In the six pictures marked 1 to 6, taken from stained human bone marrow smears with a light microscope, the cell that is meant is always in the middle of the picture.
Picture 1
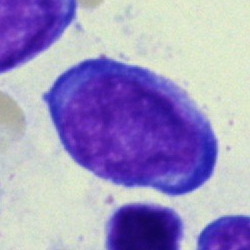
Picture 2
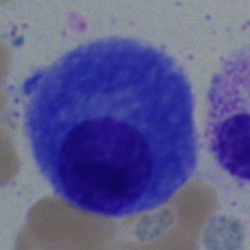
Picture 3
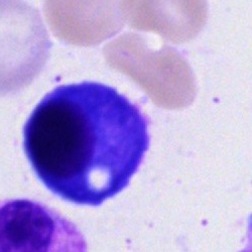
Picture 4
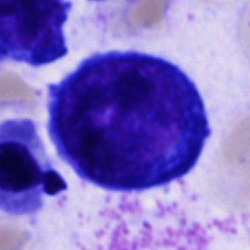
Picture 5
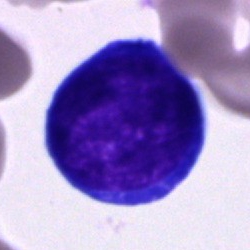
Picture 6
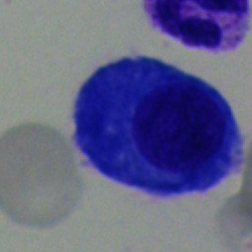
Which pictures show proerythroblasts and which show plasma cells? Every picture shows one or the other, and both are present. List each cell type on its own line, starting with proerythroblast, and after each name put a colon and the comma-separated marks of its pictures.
proerythroblast: 1, 4, 5
plasma cell: 2, 3, 6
